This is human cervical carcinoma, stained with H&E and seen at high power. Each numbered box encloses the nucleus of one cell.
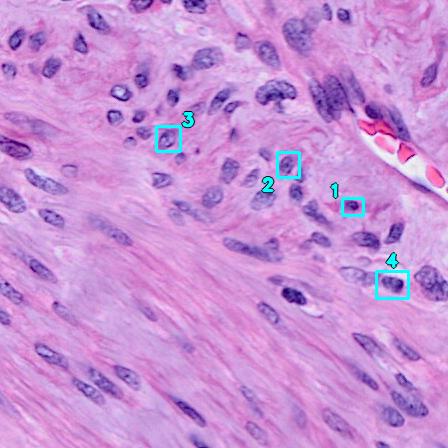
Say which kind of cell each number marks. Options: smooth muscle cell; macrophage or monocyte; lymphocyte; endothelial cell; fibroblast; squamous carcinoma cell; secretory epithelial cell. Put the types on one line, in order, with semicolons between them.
smooth muscle cell; smooth muscle cell; smooth muscle cell; lymphocyte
